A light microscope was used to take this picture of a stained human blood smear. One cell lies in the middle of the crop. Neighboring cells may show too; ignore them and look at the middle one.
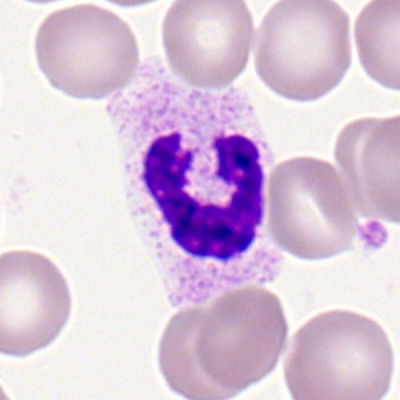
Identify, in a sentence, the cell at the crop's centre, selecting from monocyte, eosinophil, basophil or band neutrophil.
Framed in the middle of the crop is a band neutrophil.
